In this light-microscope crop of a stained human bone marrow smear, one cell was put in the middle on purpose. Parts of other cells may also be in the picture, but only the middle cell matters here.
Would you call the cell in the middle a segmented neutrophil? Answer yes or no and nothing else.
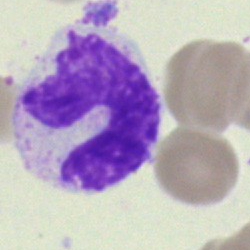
no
